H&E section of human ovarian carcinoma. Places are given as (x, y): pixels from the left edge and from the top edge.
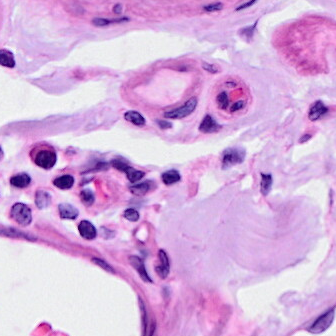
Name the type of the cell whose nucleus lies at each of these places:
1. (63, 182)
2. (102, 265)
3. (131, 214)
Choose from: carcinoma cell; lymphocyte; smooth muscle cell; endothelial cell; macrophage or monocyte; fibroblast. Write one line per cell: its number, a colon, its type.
1: lymphocyte
2: endothelial cell
3: lymphocyte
